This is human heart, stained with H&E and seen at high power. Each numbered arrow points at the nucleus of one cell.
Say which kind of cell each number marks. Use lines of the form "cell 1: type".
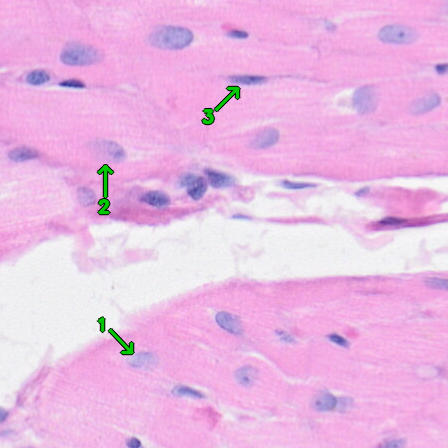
cell 1: cardiomyocyte
cell 2: cardiomyocyte
cell 3: endothelial cell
